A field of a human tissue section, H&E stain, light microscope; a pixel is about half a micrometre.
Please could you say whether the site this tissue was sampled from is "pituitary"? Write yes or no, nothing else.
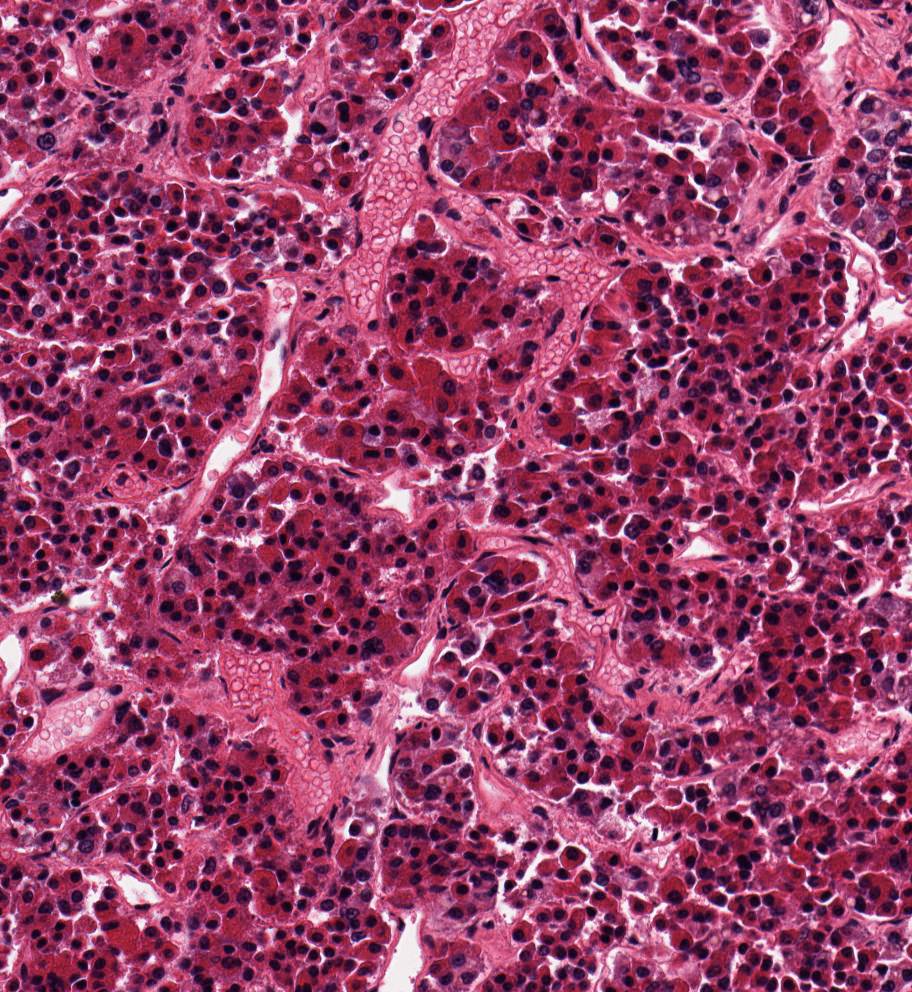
yes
